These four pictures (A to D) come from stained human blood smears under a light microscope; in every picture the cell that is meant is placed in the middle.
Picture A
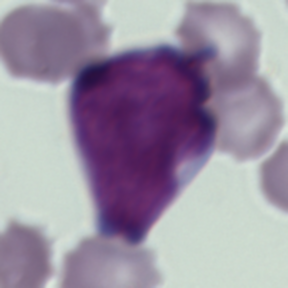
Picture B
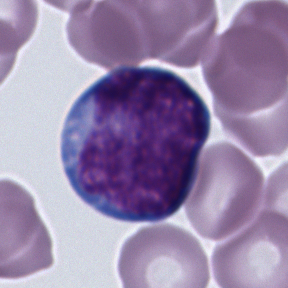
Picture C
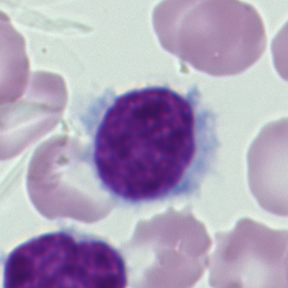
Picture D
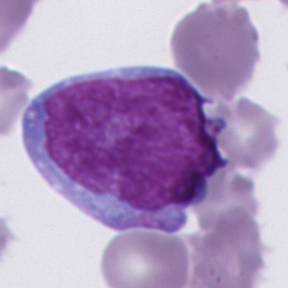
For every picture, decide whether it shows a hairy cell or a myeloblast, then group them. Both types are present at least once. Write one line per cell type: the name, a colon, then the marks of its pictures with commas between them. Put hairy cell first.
hairy cell: C
myeloblast: A, B, D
